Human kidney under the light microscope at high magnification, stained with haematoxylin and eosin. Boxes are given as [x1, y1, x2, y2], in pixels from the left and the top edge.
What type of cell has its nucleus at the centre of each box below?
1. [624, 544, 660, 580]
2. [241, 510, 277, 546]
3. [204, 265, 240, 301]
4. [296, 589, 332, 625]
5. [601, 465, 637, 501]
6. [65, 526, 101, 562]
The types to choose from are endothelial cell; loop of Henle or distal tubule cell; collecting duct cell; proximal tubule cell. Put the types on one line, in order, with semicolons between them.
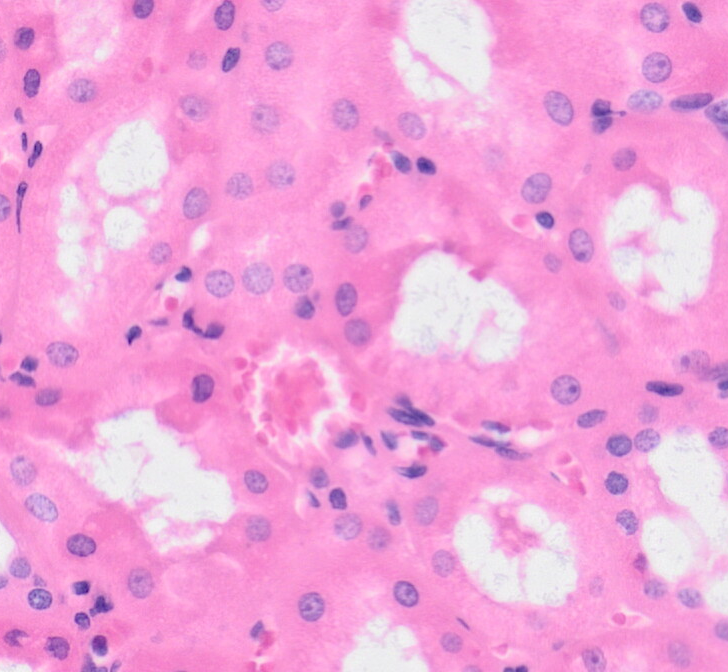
loop of Henle or distal tubule cell; proximal tubule cell; proximal tubule cell; proximal tubule cell; loop of Henle or distal tubule cell; proximal tubule cell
